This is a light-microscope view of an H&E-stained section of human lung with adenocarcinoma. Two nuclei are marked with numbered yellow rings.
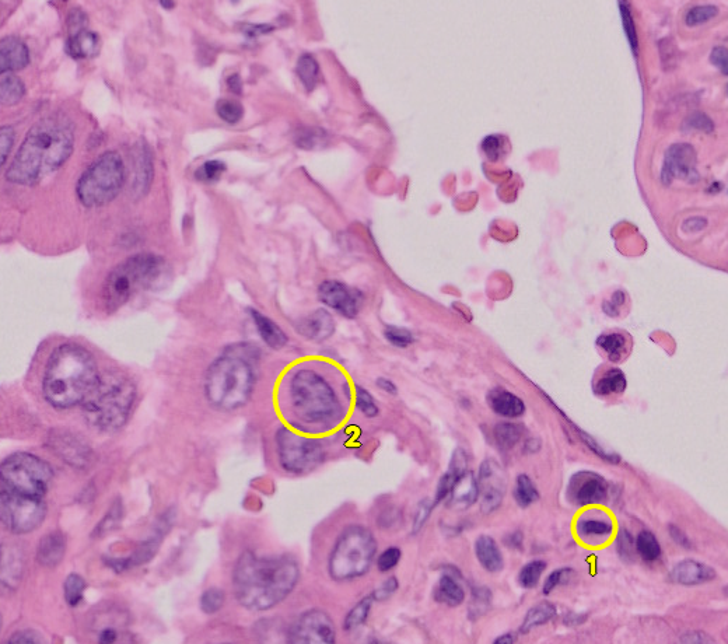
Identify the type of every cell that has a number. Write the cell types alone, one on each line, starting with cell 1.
lymphocyte
carcinoma cell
